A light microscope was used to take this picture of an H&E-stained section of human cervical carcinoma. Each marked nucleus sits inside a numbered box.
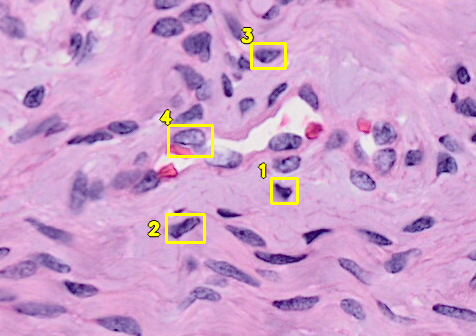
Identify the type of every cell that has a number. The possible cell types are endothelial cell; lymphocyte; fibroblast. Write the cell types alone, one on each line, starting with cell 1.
fibroblast
fibroblast
fibroblast
endothelial cell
